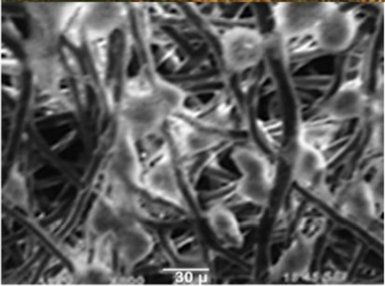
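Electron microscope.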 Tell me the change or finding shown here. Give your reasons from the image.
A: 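Rounded and flattened cells lie among and between a mesh of fibers. Cell bodies spread over fibers and extend into gaps of the mesh.
Cell infiltration.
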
